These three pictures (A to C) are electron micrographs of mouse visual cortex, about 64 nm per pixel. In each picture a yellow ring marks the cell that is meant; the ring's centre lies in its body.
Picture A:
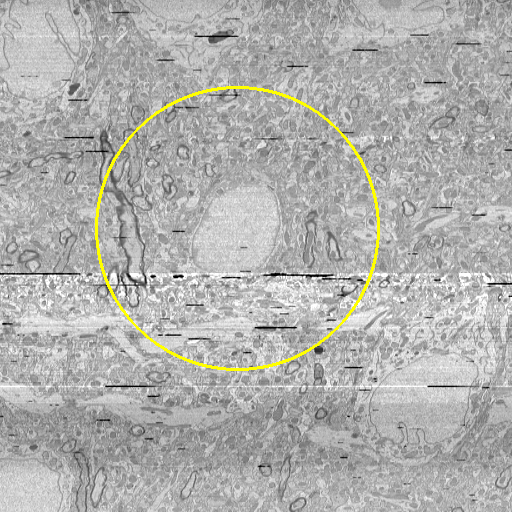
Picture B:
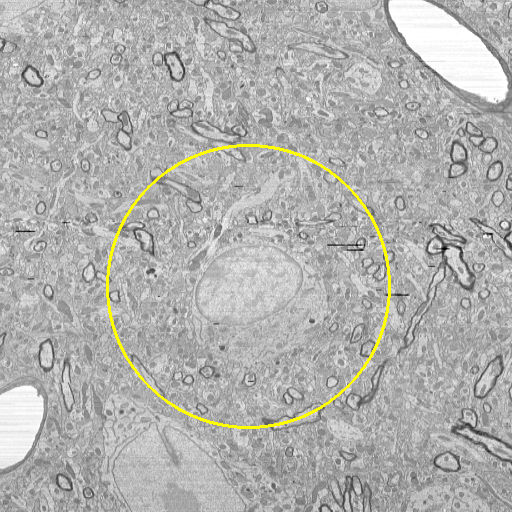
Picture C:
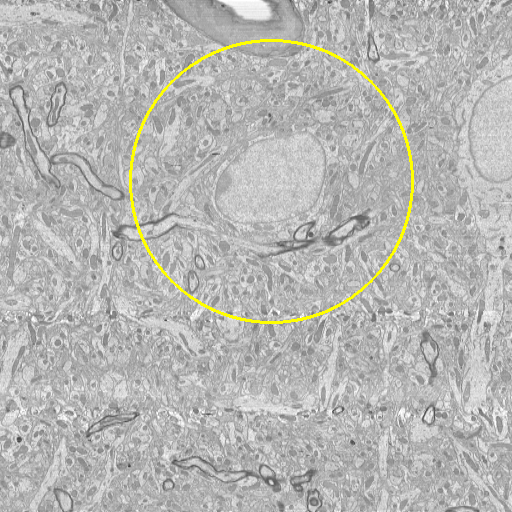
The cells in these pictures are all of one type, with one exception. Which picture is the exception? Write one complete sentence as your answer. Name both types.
Unlike the rest, which show astrocytes, picture B shows an oligodendrocyte.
